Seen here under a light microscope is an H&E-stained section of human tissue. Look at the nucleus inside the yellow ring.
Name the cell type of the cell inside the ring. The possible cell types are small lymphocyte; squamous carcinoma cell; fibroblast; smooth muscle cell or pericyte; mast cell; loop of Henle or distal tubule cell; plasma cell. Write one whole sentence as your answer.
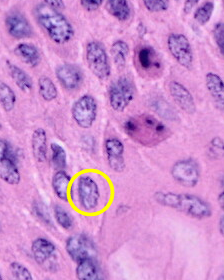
For cell typing purposes, the cell inside the ring is a squamous carcinoma cell.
